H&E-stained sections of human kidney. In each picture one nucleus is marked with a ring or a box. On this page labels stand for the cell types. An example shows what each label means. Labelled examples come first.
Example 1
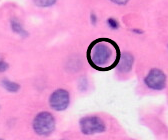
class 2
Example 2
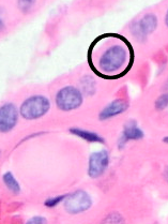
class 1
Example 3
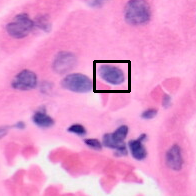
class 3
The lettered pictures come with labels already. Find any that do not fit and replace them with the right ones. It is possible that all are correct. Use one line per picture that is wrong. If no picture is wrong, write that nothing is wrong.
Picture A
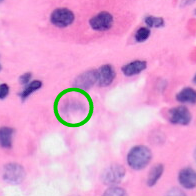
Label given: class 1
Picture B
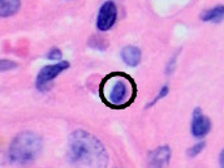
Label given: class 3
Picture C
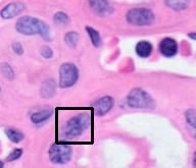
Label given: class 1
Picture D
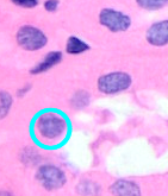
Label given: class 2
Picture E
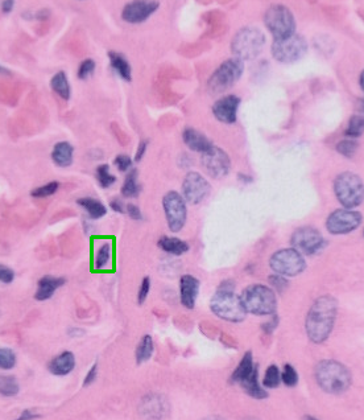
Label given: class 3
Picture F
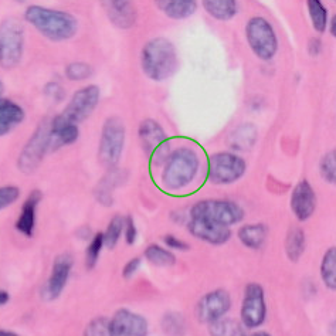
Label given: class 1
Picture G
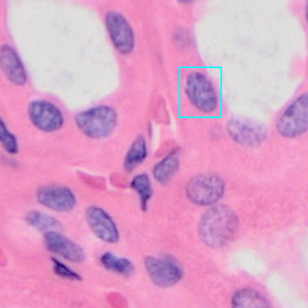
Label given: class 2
Wrong: A (class 1); correct: class 2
